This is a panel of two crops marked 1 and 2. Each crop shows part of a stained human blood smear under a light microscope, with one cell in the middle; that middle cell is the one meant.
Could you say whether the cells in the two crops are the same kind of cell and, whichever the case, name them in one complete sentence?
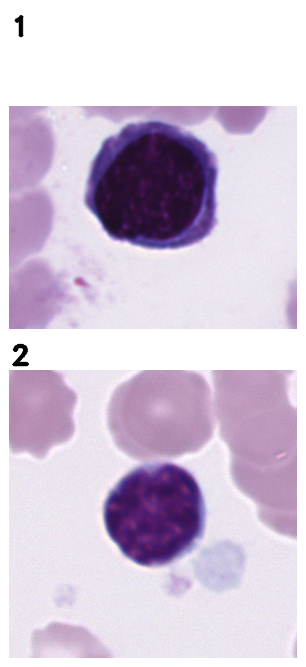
No, what crop 1 shows is an erythroblast, and what crop 2 shows is a lymphocyte.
